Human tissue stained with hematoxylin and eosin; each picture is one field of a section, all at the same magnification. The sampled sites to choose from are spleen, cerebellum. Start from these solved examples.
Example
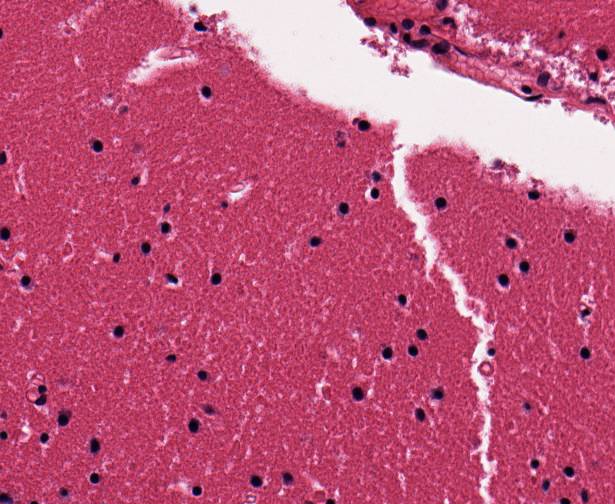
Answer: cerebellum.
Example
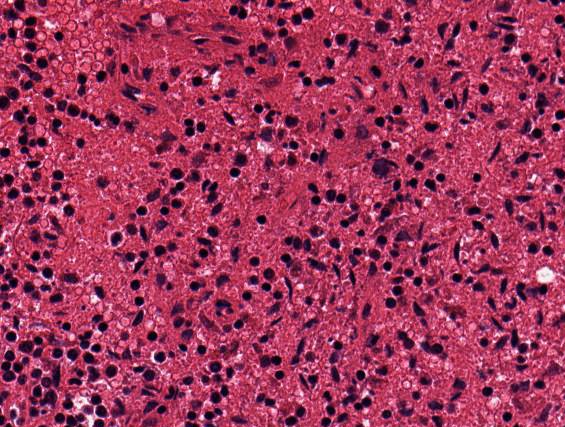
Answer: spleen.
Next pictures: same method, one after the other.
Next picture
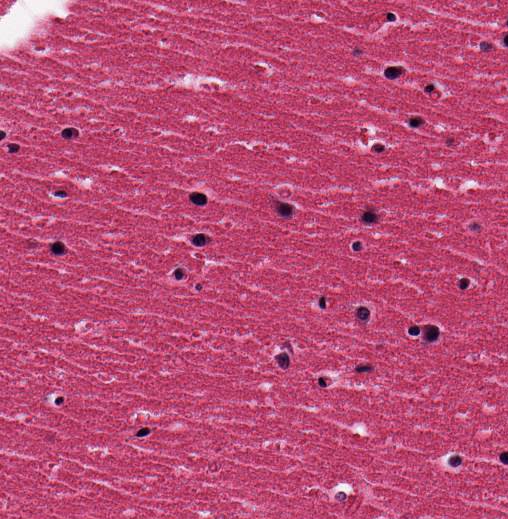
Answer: cerebellum.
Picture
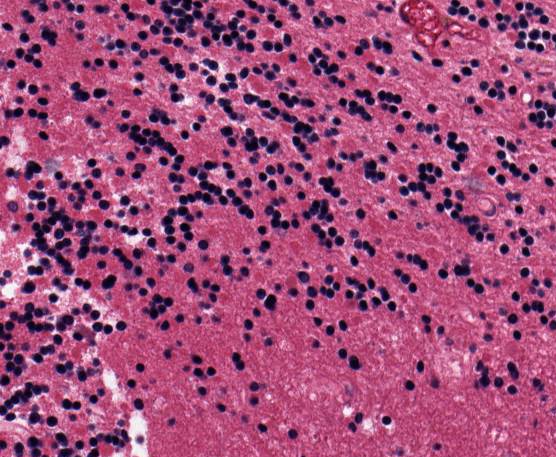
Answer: cerebellum.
